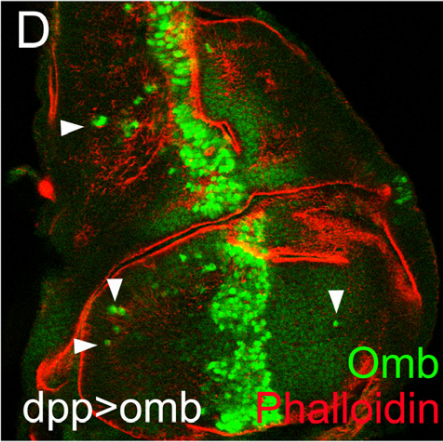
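This wing imaginal disc shows a vertical band of densely packed bright green cells running down its middle, with red lines tracing the folds of the epithelium. A few isolated bright green cells lie far out to the left and right of the band, away from the central stripe.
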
